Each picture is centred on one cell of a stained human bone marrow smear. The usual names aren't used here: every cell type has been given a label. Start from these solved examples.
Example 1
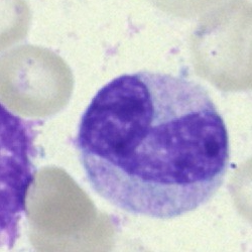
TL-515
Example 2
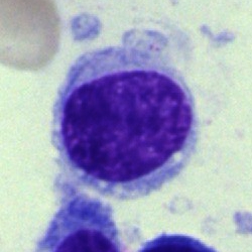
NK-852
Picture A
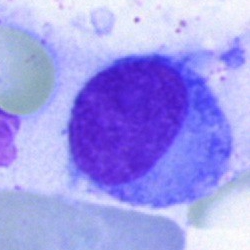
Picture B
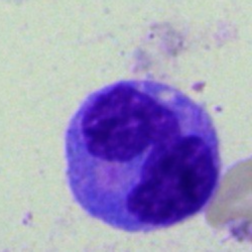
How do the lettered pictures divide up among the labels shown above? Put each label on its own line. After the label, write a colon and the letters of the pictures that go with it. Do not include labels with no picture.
TL-515: B
NK-852: A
